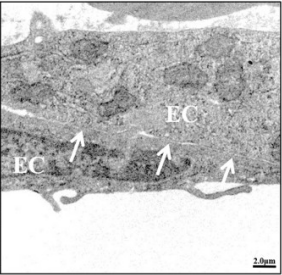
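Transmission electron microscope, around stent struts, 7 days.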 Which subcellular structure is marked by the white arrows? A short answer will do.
tight junctions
